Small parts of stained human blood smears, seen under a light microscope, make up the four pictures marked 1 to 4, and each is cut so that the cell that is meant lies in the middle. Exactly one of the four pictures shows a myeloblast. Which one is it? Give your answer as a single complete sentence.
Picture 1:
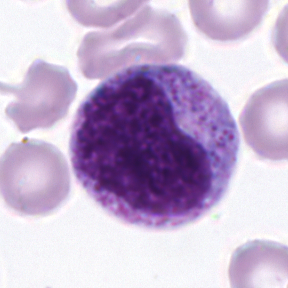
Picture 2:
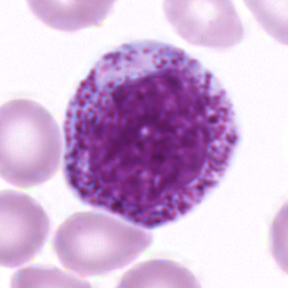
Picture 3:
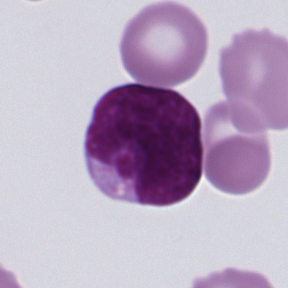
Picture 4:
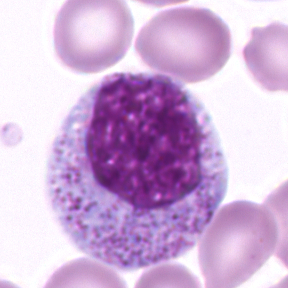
Picture 3 is the one that shows the myeloblast.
